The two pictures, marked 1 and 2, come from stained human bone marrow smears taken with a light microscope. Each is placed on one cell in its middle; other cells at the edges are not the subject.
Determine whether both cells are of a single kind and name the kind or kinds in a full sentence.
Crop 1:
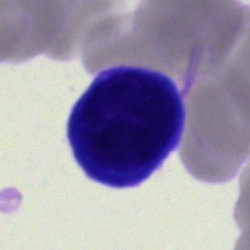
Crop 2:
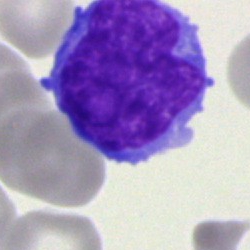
No, a lymphocyte is what occupies crop 1, and a blast is what occupies crop 2.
